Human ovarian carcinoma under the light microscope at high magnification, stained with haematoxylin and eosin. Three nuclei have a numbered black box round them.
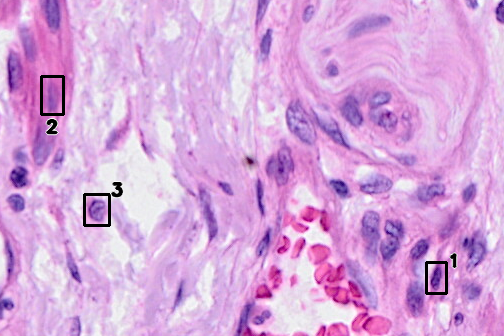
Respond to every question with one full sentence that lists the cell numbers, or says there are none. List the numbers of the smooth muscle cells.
Just one of the numbered cells is a smooth muscle cell, namely number 2.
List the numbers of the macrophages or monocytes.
The cell labelled 3 is a macrophage or monocyte, while the remaining numbered cells are not.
